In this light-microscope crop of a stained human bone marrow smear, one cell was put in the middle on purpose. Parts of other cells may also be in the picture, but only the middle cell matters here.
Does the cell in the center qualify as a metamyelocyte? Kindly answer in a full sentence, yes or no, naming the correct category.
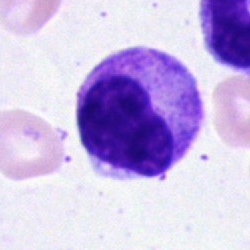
Yes, in this crop the cell in the middle is a metamyelocyte.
